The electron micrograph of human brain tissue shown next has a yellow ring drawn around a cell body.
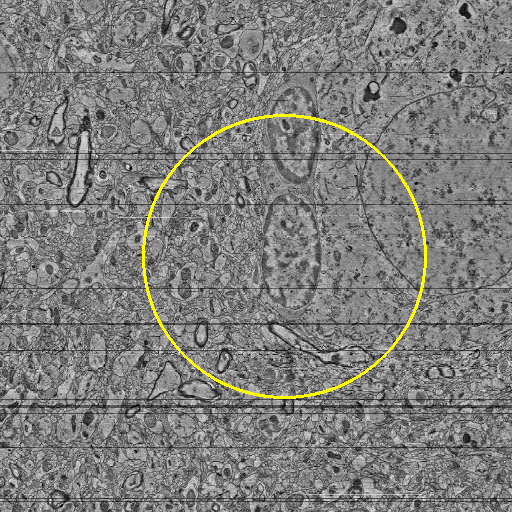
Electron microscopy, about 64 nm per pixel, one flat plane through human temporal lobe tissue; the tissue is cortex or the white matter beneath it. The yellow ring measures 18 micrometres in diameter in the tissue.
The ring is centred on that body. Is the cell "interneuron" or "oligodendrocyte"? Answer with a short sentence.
The cell in question is an oligodendrocyte.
